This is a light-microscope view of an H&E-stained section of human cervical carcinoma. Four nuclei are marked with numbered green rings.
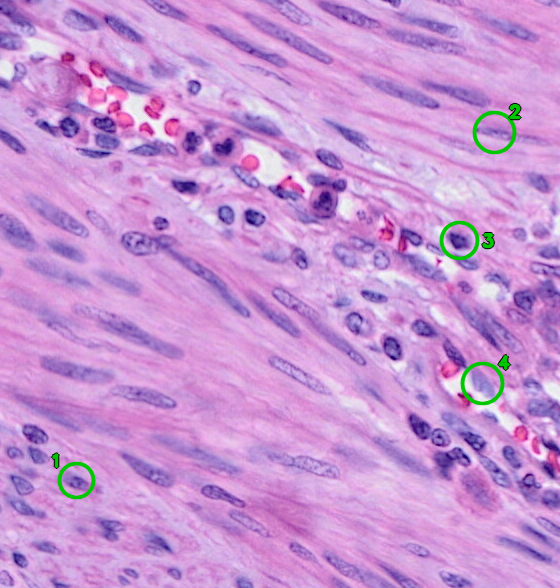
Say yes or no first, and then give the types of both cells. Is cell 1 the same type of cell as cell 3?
No, cell 1 is a smooth muscle cell; as for cell 3, that one is a lymphocyte.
